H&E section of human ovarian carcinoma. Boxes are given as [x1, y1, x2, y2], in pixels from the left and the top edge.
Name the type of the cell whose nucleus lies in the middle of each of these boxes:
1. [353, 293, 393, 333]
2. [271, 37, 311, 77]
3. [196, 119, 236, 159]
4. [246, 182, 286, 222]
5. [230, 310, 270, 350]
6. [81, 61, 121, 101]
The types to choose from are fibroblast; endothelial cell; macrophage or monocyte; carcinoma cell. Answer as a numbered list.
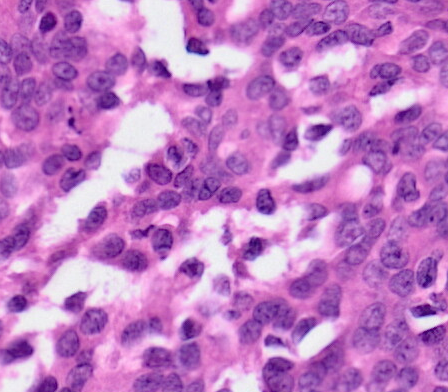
1. carcinoma cell
2. macrophage or monocyte
3. carcinoma cell
4. macrophage or monocyte
5. carcinoma cell
6. carcinoma cell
